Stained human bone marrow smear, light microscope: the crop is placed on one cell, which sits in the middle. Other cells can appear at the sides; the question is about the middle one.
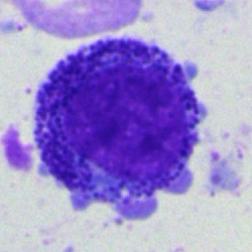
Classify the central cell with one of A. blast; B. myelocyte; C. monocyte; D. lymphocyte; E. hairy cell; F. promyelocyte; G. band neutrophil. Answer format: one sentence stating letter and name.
The middle of the crop contains a promyelocyte, so option F is right.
